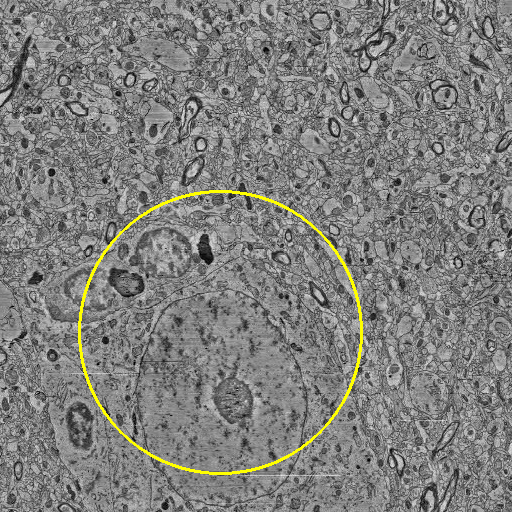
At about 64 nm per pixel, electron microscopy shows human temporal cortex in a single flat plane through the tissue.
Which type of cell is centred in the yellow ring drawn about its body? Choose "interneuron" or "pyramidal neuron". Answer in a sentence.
The yellow ring surrounds the cell body of a pyramidal neuron.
